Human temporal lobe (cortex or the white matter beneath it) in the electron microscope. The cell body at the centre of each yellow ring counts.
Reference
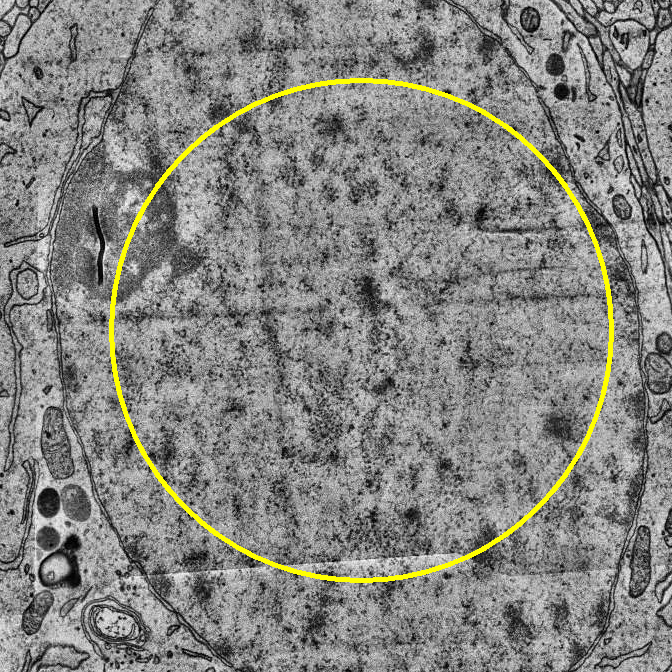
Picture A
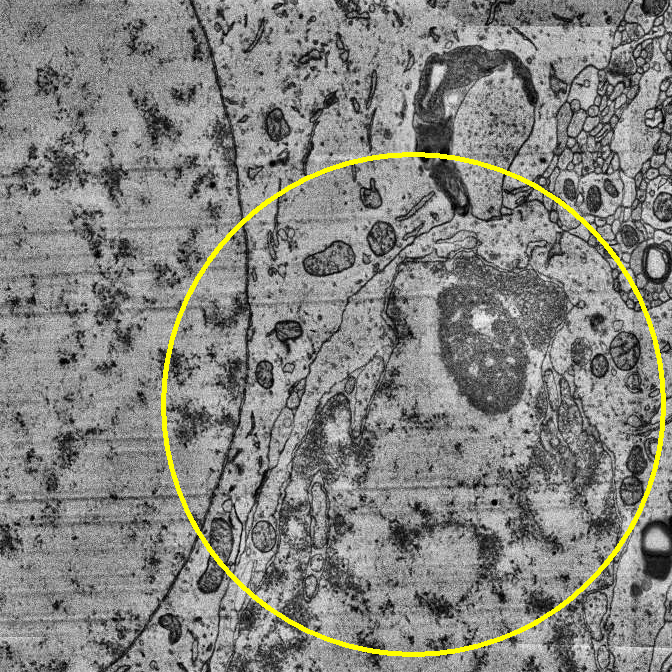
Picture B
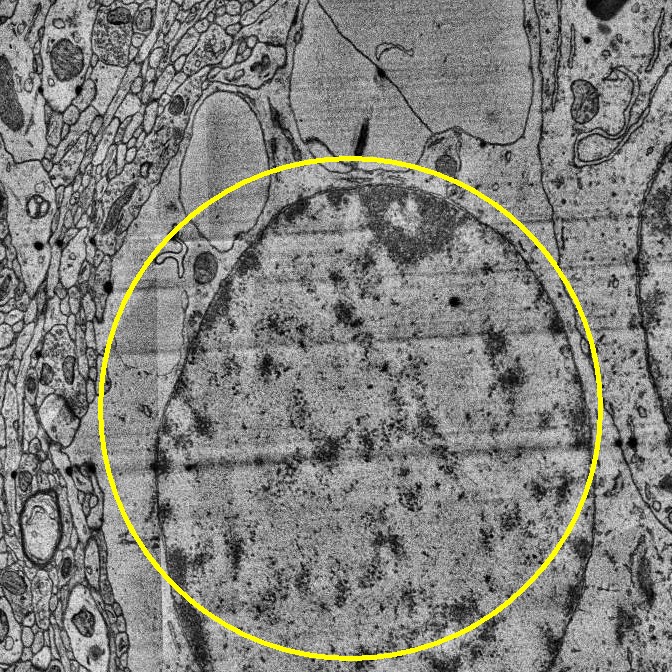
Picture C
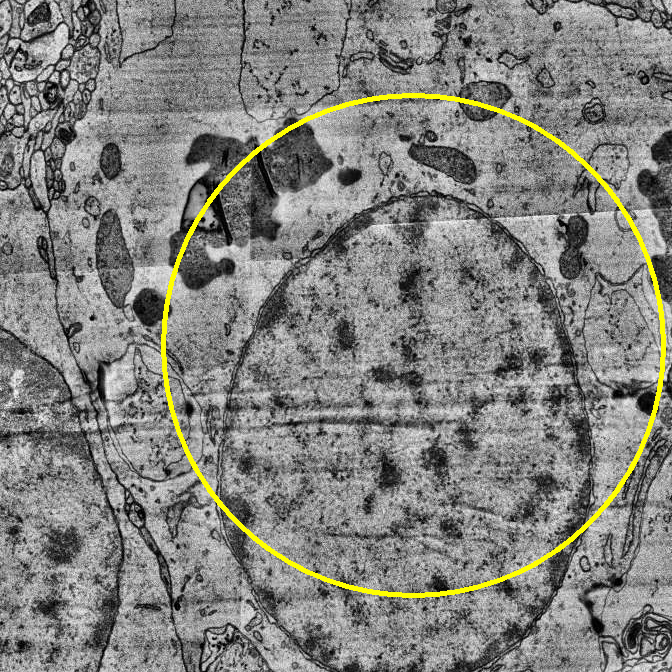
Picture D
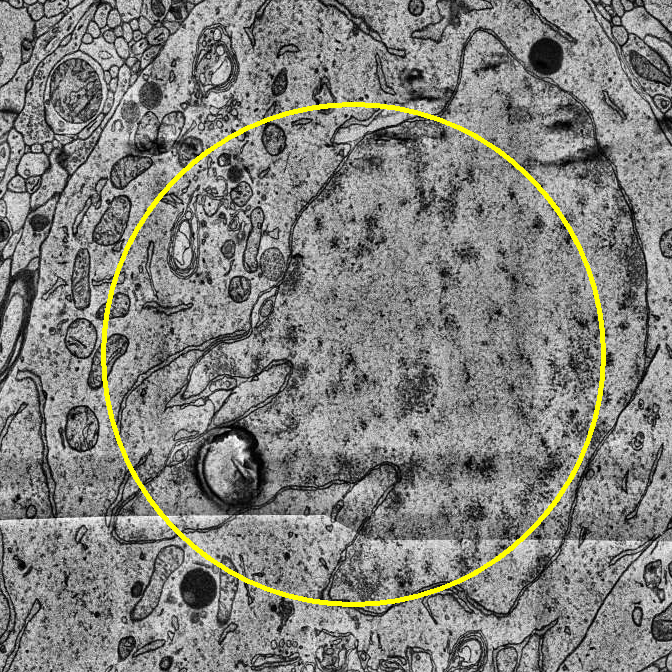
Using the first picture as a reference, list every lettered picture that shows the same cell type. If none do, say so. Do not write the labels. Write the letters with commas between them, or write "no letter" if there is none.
A, D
